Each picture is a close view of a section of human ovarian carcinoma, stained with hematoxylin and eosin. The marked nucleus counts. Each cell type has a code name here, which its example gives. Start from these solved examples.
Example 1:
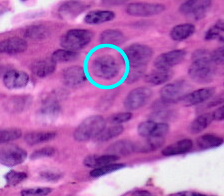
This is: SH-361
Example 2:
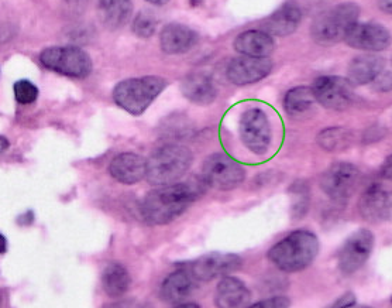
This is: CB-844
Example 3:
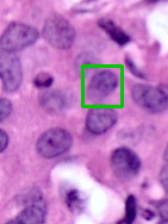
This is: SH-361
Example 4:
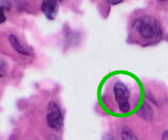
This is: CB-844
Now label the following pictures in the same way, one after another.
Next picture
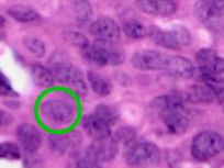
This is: SH-361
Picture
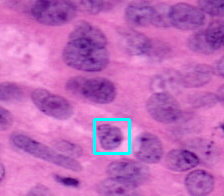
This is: CB-844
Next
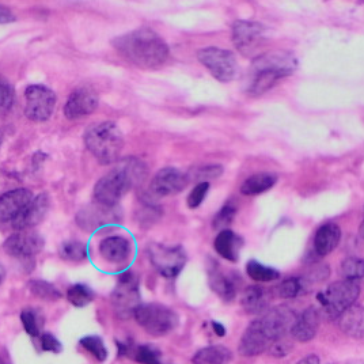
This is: CB-844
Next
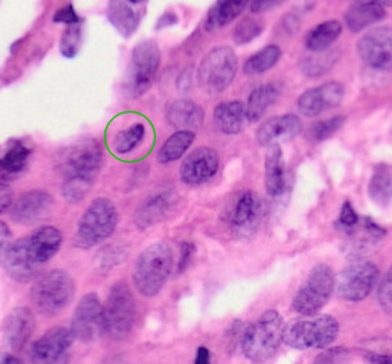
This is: CB-844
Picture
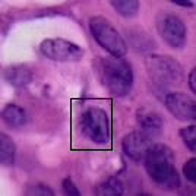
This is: CB-844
